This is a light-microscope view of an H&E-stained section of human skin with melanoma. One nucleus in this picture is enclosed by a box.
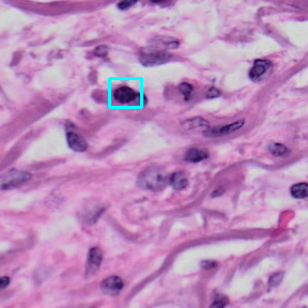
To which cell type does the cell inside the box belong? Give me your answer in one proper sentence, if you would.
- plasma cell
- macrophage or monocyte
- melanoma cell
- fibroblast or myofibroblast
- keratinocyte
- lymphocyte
In short, the cell inside the box on this section is a plasma cell.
